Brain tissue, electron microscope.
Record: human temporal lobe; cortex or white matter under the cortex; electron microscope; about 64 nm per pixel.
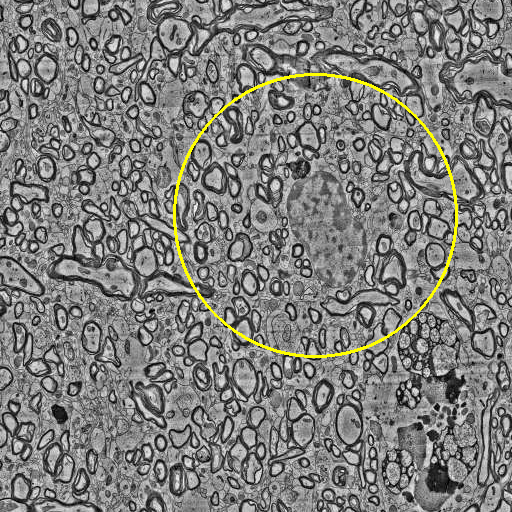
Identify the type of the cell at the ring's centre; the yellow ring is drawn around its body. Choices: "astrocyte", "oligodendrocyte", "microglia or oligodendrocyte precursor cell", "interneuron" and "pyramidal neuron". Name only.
microglia or oligodendrocyte precursor cell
